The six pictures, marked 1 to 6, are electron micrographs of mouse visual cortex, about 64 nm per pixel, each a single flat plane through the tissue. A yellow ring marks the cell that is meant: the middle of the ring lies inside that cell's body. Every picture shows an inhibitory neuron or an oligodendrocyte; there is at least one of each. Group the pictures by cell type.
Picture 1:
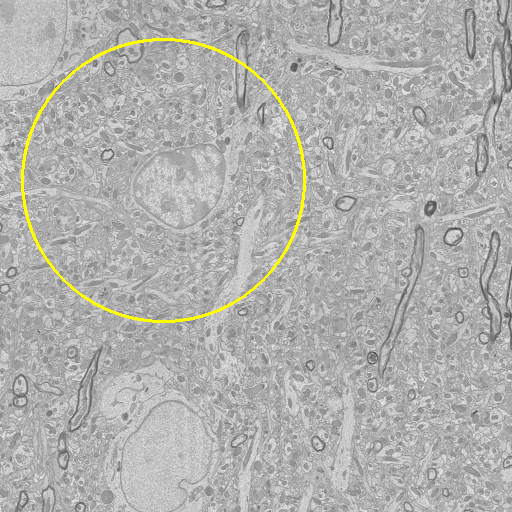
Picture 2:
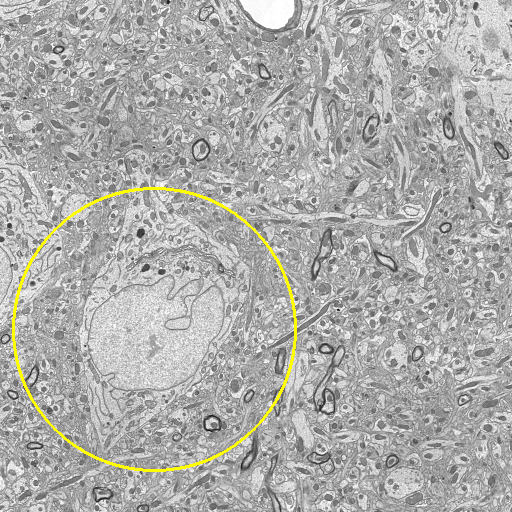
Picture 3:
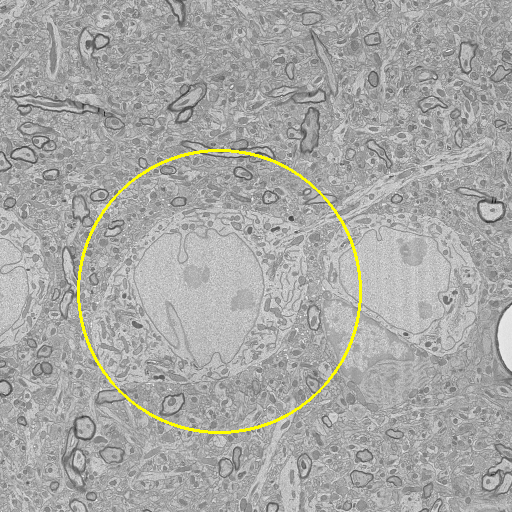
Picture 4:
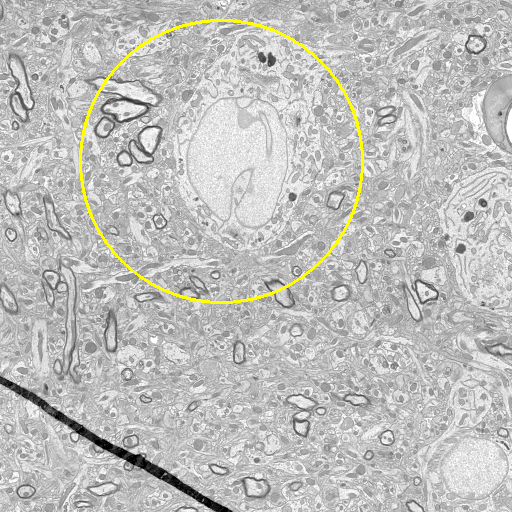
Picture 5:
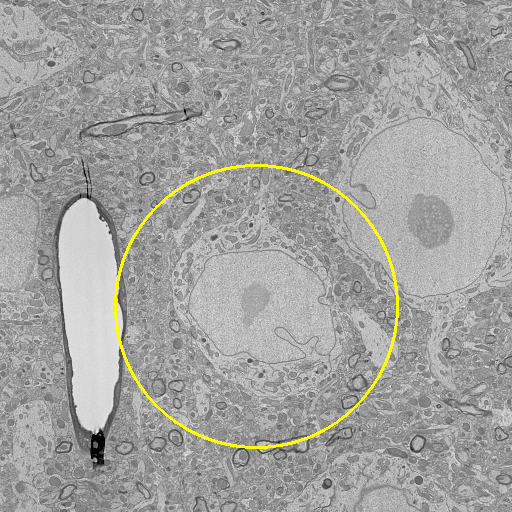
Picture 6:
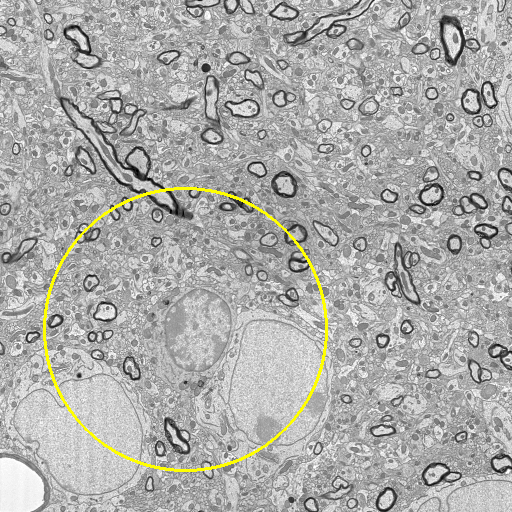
Pictures 2, 3, 4 and 5 show inhibitory neurons, while pictures 1 and 6 show oligodendrocytes.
